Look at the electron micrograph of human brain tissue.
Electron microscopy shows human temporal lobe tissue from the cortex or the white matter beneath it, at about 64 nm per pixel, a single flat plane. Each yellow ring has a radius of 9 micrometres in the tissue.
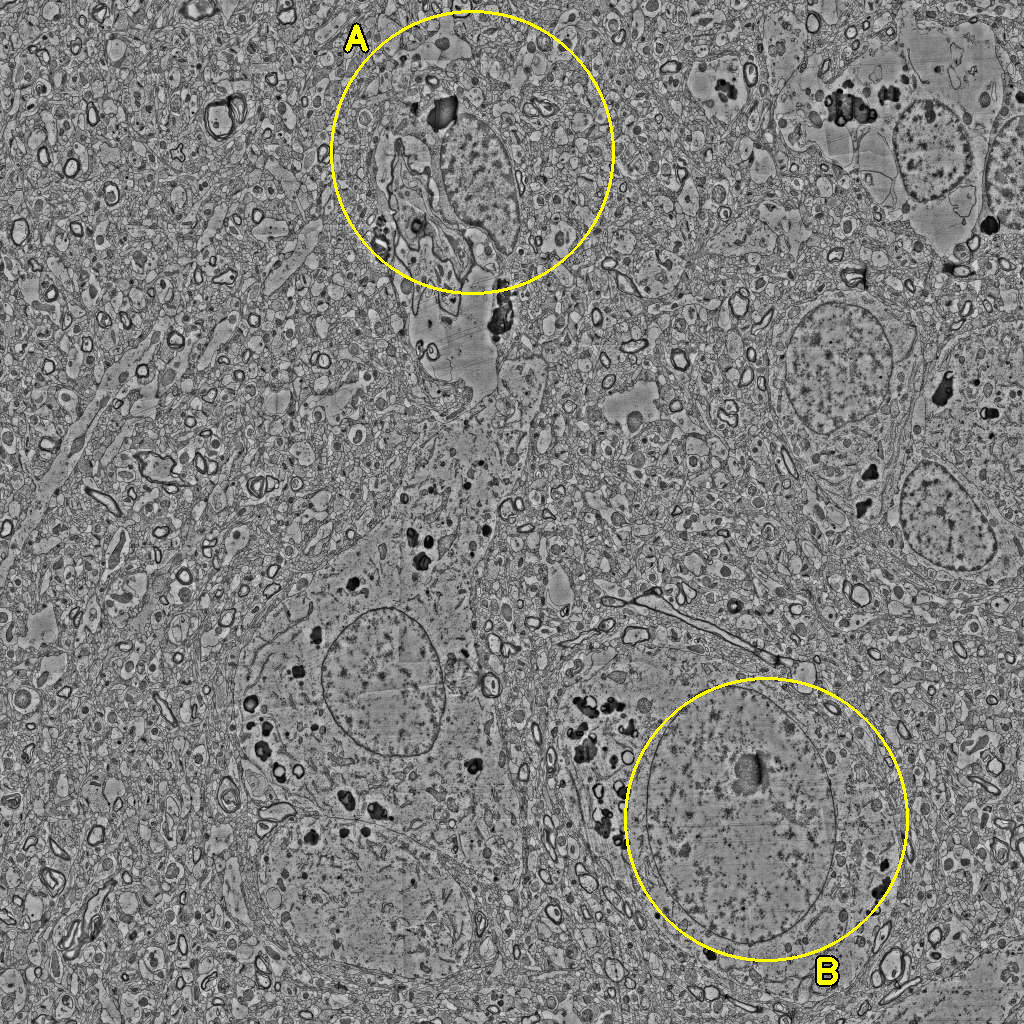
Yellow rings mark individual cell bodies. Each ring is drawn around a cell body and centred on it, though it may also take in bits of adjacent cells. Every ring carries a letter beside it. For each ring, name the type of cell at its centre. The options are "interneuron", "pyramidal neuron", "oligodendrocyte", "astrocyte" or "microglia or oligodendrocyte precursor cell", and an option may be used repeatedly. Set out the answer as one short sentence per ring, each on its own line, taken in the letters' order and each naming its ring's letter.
Ring A is drawn around an oligodendrocyte.
Ring B is drawn around a pyramidal neuron.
